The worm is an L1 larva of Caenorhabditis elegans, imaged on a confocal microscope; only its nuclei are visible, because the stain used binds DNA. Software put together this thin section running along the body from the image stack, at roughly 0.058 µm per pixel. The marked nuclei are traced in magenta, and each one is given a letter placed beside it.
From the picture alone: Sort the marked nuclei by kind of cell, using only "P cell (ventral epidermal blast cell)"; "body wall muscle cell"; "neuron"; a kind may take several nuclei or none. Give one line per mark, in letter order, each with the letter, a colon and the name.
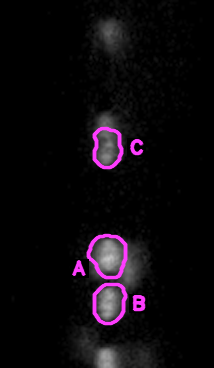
A: neuron
B: neuron
C: P cell (ventral epidermal blast cell)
